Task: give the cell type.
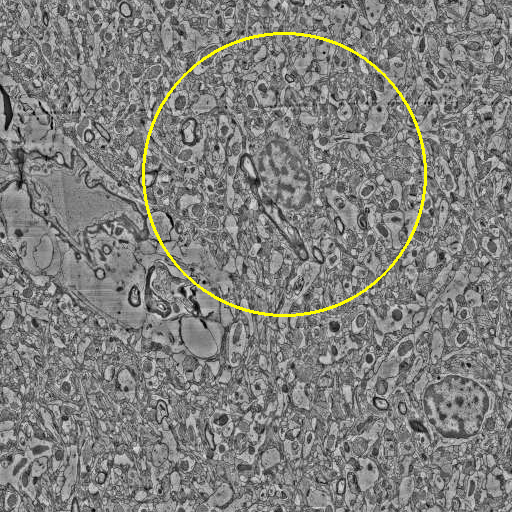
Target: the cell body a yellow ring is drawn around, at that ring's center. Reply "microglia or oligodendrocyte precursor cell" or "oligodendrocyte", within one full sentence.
In this picture, the cell whose body lies at the ring's center is an oligodendrocyte.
